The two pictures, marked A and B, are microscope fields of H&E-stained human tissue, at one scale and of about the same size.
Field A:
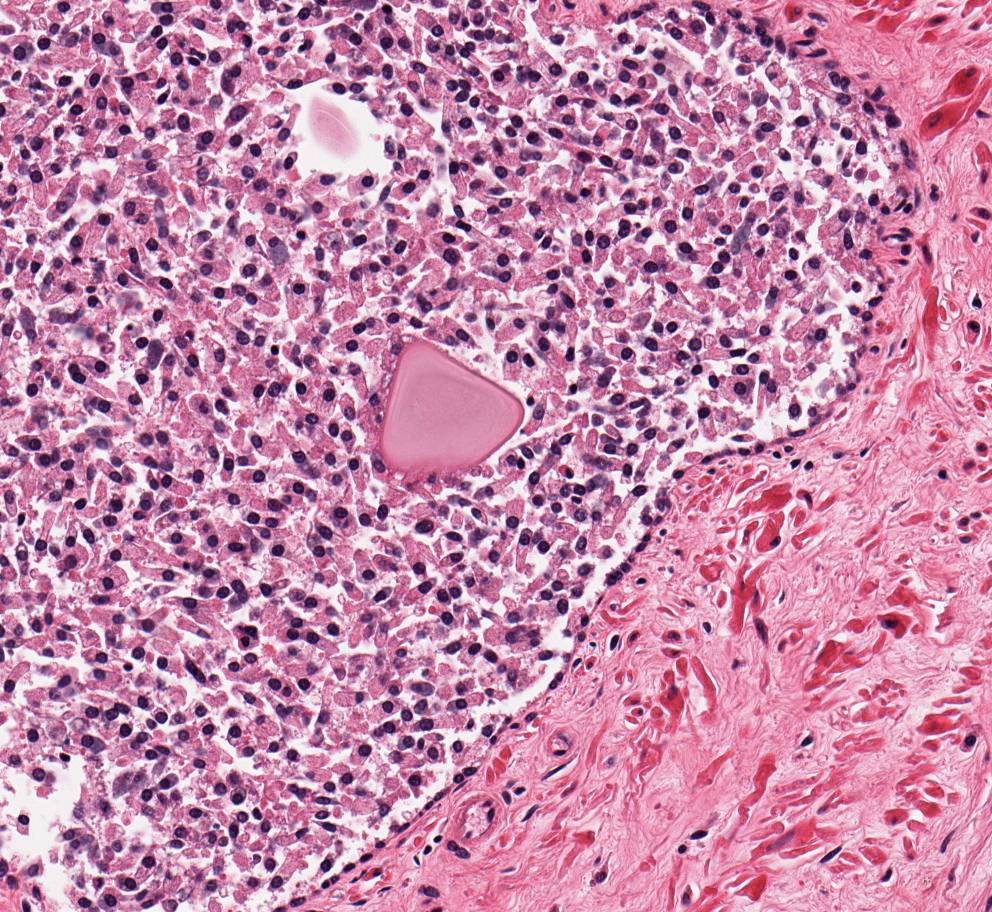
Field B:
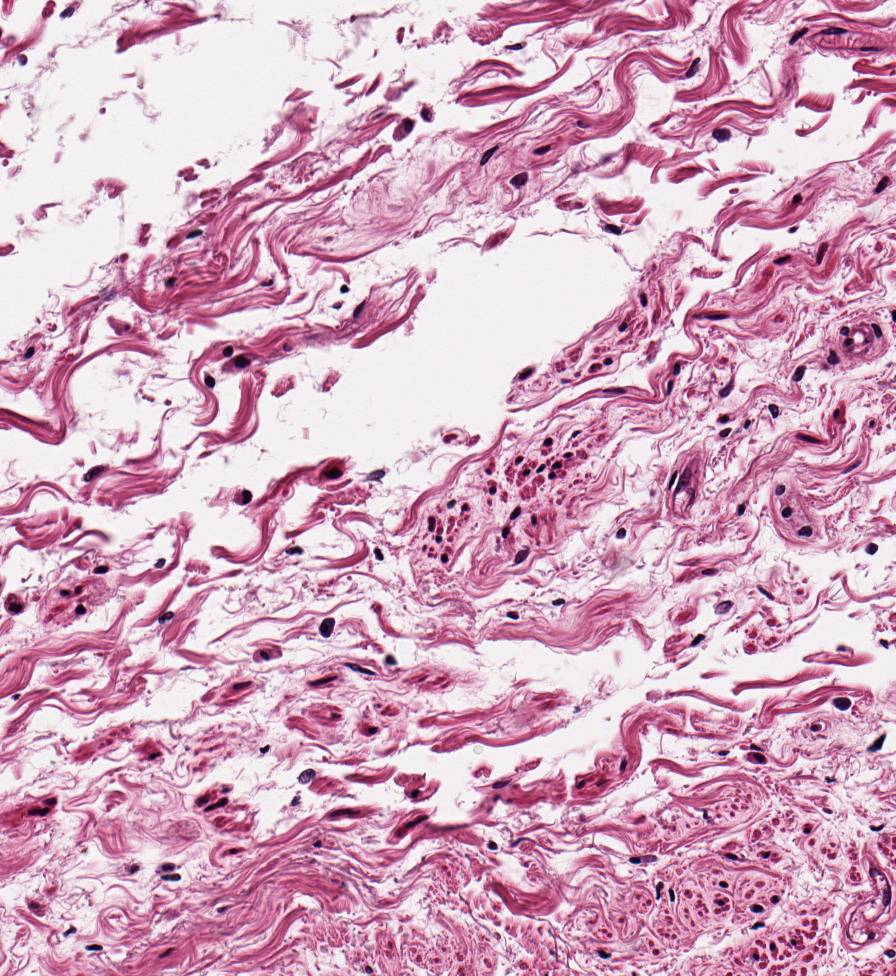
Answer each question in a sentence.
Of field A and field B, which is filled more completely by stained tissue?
It is field A that stained tissue fills more completely.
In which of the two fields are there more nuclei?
More nuclei lie in field A than in field B.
